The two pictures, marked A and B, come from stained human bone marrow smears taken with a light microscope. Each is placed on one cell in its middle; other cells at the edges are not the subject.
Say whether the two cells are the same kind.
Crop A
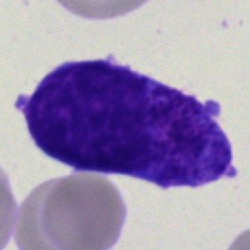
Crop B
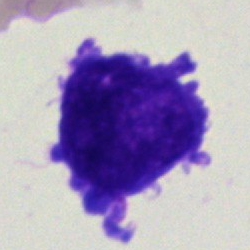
yes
